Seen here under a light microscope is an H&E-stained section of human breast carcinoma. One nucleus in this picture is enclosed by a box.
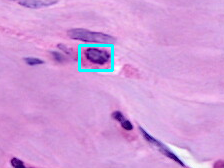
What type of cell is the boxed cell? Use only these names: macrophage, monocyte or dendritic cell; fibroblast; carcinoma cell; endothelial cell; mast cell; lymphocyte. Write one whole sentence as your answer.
To be brief about it, the boxed cell is a mast cell.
